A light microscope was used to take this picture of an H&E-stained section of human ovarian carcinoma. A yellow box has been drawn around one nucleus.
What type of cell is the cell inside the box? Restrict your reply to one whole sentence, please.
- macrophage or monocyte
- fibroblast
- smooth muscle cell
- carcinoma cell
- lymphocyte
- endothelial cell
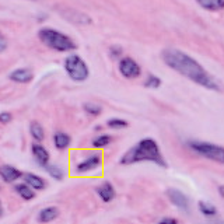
In this section, the cell inside the box is a smooth muscle cell.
